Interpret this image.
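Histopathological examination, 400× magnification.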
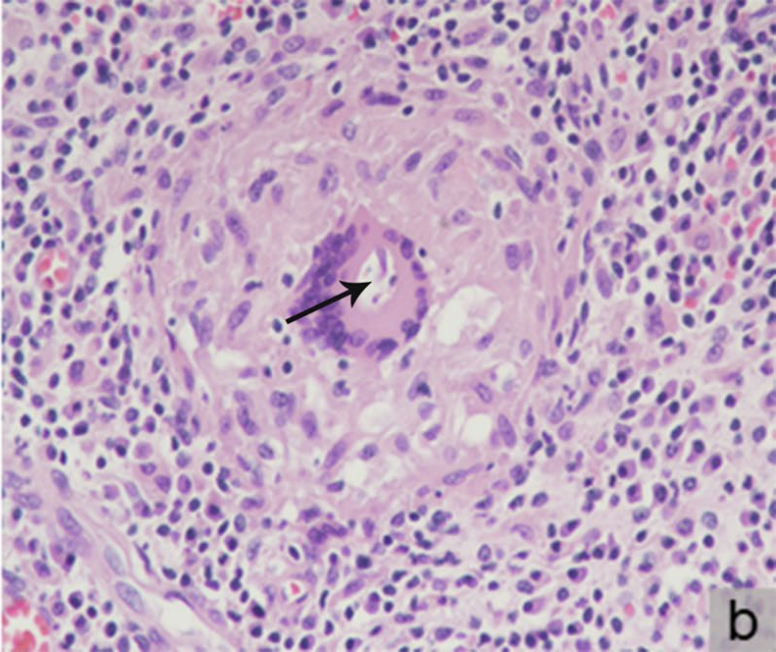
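Granulomatous inflammation centred on a multinucleated giant cell enclosing foreign material. The giant cell has pink cytoplasm with numerous dark purple nuclei crowded along one margin, forming a curved rim around a central clear space. Around it lies a whorled zone of elongated, spindle-shaped cells with oval nuclei set in pale pink fibrous matrix, with a few additional clear spaces. Outside this zone is a dense mixed infiltrate of small round cells with dark nuclei and cells with more abundant cytoplasm. A few red blood cells lie in small vessels at the edges.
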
